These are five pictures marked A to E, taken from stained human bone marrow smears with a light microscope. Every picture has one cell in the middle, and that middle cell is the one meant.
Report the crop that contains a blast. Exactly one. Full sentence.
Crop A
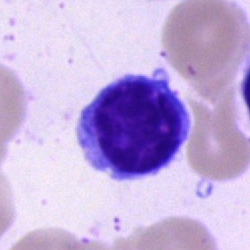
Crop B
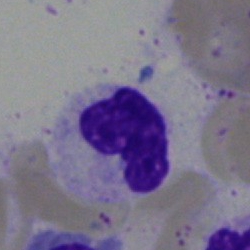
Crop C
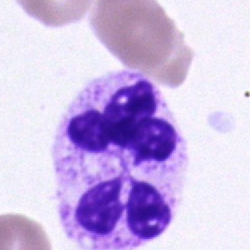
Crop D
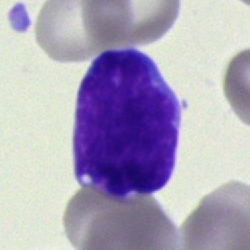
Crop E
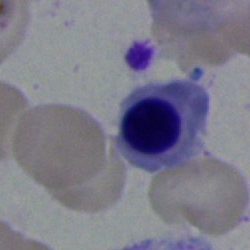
Crop D, of the crops presented, is the one showing a blast.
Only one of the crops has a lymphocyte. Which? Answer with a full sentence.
The one showing a lymphocyte is the crop labelled A.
